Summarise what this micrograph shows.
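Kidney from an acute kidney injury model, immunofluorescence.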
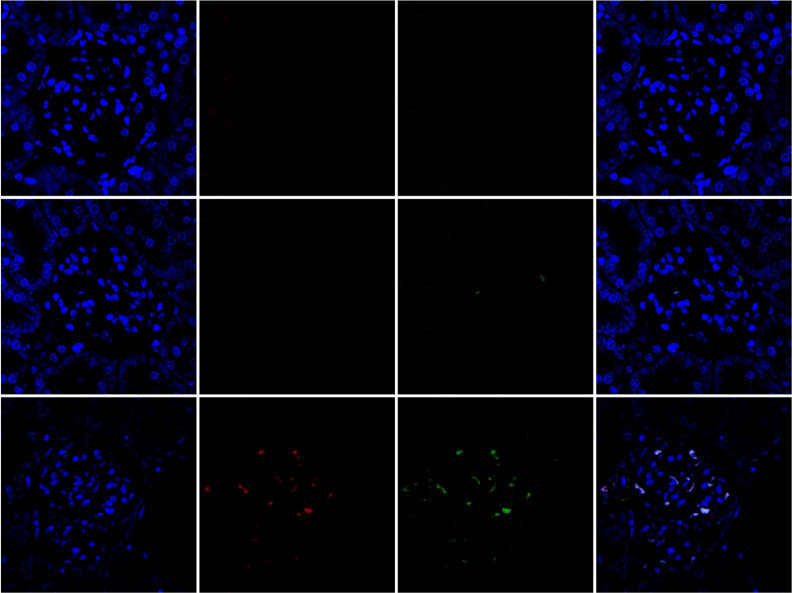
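In the blue channel, a compact cluster of nuclei sits in the middle of each field, ringed by tubular profiles whose epithelial nuclei line up around their lumens. In the top two rows the red and green channels stay essentially dark. In the bottom row scattered small, irregular red cells and green cells appear among the nuclei of the central cluster. In the overlay these small cells show red and green together, appearing pale or whitish over their nuclei.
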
